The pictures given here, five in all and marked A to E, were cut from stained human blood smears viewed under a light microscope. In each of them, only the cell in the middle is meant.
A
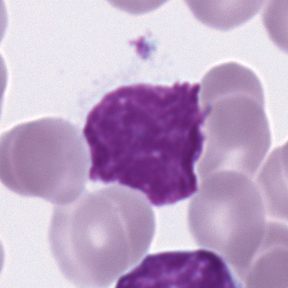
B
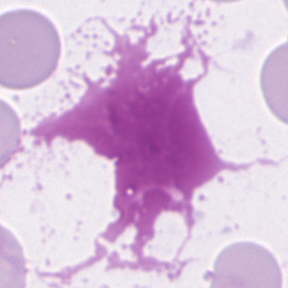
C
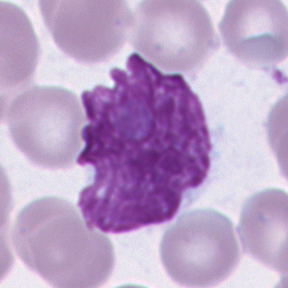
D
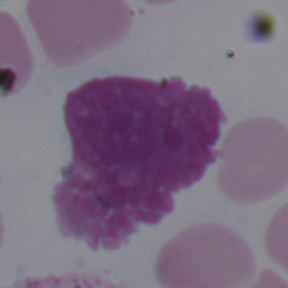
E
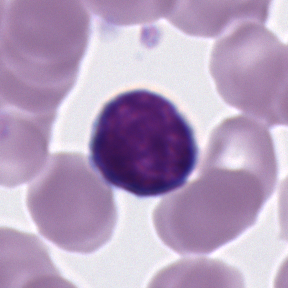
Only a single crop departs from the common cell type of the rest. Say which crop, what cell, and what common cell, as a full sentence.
Unlike the other crops, all showing smudge cells, crop E is a typical lymphocyte.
